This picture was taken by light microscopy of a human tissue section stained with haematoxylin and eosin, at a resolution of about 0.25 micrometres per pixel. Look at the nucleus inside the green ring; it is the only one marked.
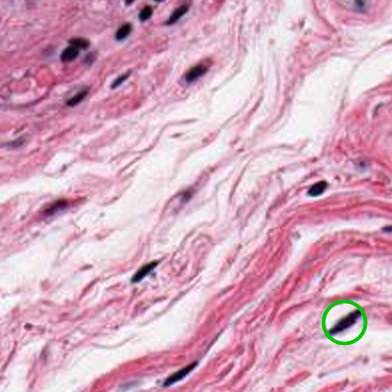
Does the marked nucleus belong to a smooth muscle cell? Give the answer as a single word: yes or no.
no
